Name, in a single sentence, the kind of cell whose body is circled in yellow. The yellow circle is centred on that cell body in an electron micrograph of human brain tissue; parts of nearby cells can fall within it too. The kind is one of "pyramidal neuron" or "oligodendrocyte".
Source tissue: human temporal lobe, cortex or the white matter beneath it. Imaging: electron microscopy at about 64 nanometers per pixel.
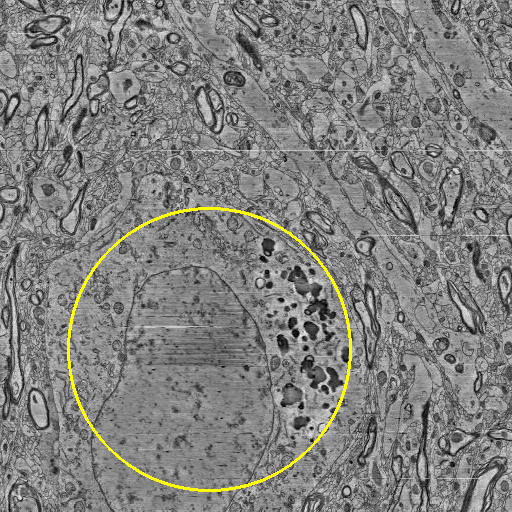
The circled cell body belongs to a pyramidal neuron.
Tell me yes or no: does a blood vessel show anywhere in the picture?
No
